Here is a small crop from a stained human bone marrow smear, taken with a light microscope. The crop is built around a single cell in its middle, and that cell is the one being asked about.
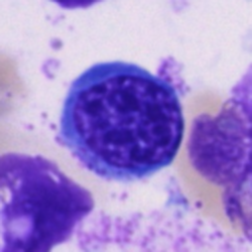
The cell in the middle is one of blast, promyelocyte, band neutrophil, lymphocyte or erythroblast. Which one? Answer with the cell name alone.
erythroblast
